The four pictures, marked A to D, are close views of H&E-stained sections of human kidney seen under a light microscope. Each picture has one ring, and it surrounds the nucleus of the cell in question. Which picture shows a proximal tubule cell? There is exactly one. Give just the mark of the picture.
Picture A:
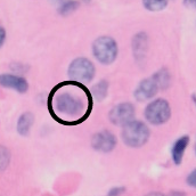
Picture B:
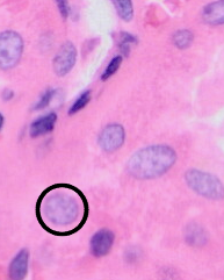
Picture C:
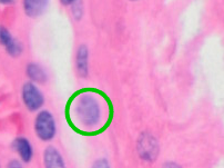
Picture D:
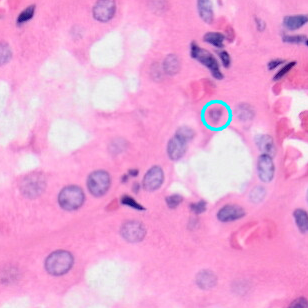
B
